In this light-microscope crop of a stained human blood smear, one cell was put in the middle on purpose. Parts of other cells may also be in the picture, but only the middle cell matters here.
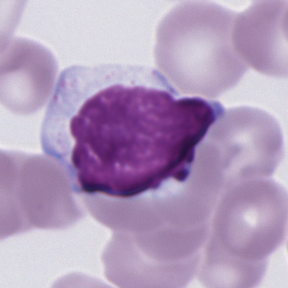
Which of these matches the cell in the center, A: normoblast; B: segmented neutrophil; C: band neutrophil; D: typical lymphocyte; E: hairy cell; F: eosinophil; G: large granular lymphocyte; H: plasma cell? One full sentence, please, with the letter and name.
Here the central cell is a large granular lymphocyte, and option G is correct.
